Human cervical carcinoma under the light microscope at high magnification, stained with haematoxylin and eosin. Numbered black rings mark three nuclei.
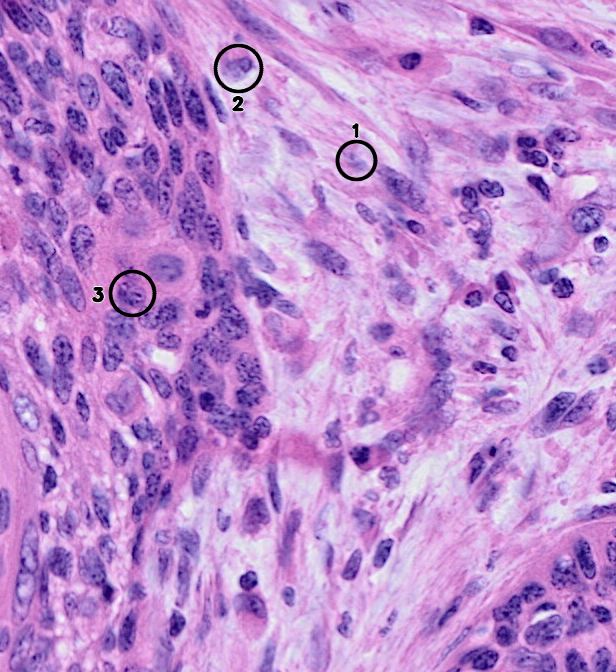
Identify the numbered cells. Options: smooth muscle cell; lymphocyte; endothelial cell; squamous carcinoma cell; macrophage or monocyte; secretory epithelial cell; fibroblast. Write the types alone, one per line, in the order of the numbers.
fibroblast
macrophage or monocyte
squamous carcinoma cell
